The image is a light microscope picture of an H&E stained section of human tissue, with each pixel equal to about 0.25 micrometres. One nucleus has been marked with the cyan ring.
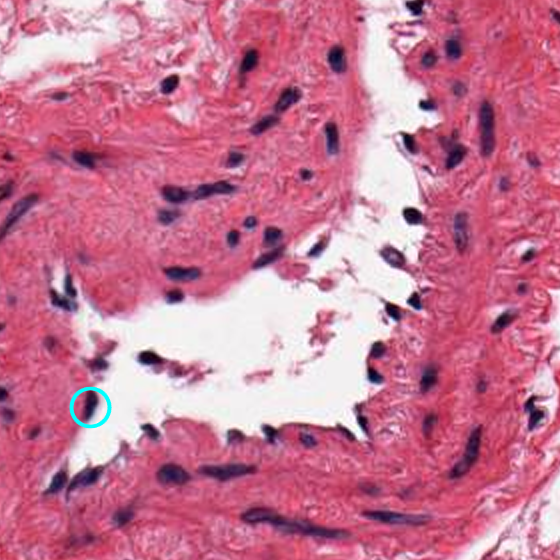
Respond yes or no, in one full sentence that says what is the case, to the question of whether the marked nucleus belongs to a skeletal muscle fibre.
No, instead of a skeletal muscle fibre, a supporting cell is what the marked nucleus belongs to.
